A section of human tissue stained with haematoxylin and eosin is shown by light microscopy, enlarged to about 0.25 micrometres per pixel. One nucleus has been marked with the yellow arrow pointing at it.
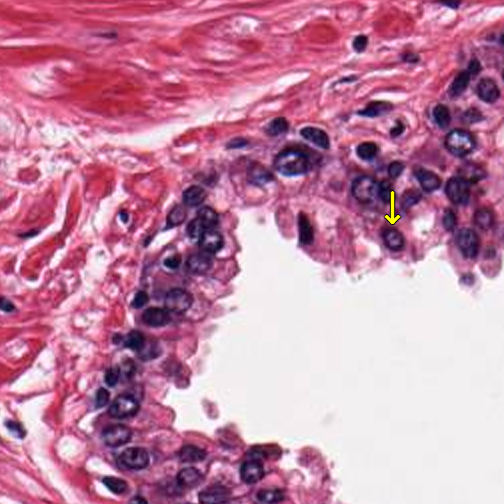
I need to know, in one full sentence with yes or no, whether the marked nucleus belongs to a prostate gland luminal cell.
Yes, the marked nucleus is the nucleus of a prostate gland luminal cell in this section.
